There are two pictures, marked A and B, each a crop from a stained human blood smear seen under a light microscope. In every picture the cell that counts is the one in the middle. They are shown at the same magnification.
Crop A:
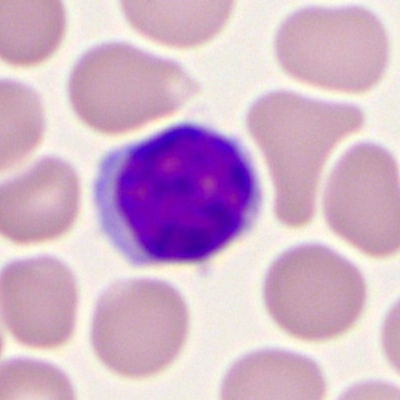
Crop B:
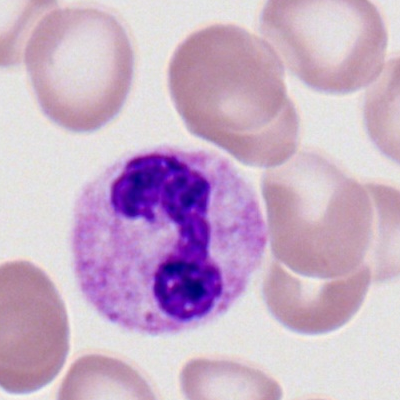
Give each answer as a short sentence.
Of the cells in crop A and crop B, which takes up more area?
It is the cell in crop B, about 1.5 times as large in area as the cell in crop A.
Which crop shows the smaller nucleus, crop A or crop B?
It is the nucleus in crop B; the one in crop A has about 1.5 times its area.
